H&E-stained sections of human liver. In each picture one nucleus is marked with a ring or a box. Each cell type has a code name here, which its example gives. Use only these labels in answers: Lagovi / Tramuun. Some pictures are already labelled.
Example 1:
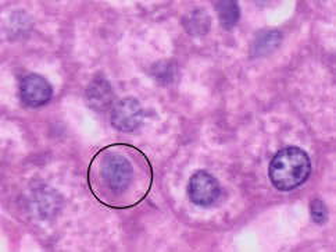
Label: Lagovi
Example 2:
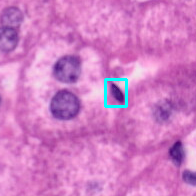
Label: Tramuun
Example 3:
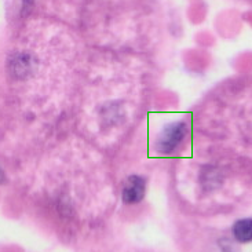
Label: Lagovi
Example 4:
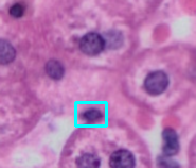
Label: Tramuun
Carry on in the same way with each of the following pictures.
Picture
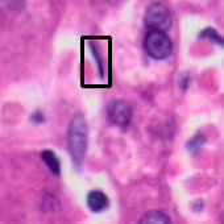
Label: Lagovi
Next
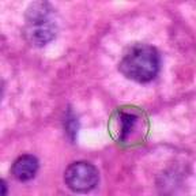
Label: Tramuun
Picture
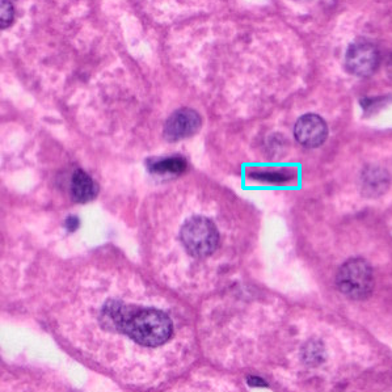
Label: Tramuun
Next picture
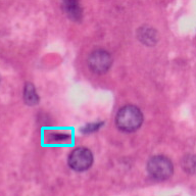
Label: Tramuun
